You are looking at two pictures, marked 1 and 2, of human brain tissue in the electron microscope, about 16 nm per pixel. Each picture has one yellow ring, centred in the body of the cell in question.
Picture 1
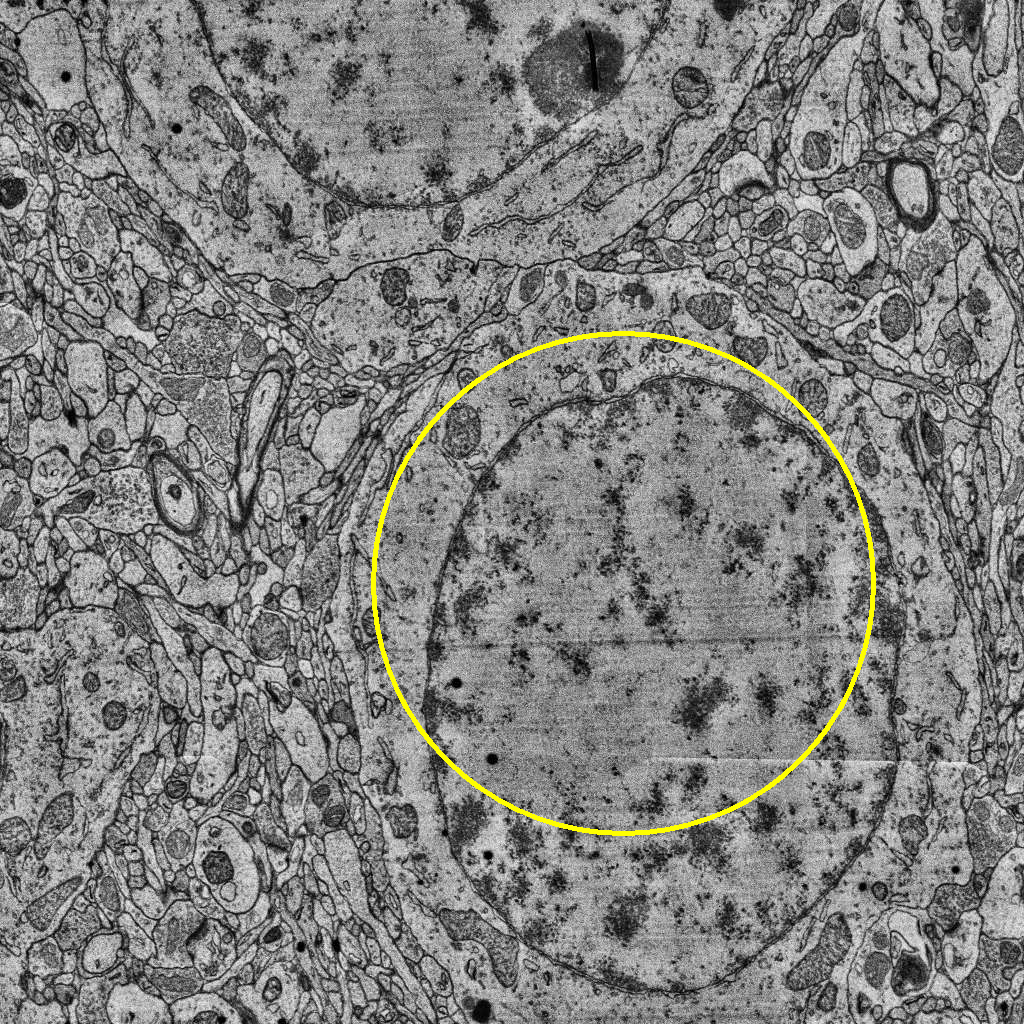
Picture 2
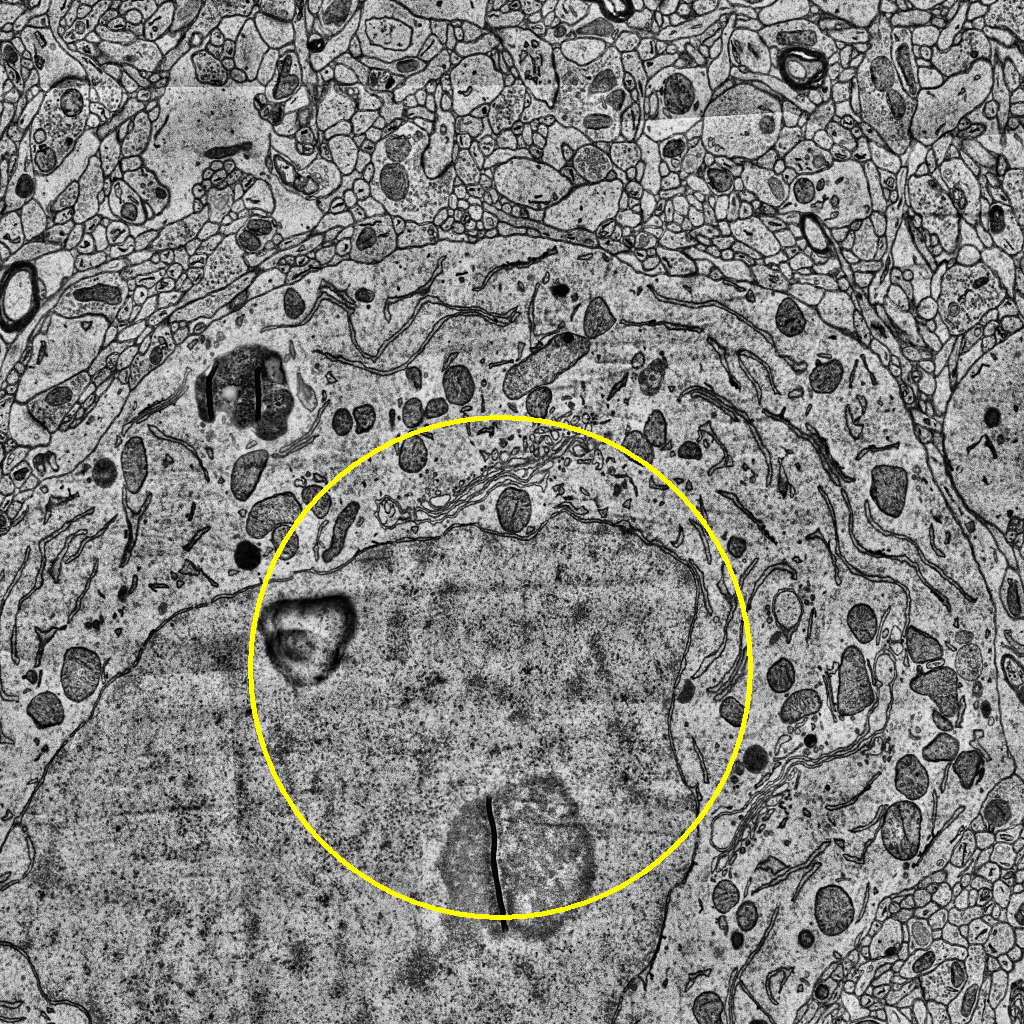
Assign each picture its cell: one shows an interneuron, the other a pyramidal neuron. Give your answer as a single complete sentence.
The cell in picture 1 is a pyramidal neuron, and the one in picture 2 is an interneuron.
